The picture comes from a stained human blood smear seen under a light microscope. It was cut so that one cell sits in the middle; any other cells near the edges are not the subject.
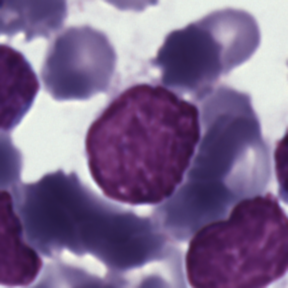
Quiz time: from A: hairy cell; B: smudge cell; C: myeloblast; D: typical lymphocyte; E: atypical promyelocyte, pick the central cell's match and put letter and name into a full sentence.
Option B gets it right: the cell in the middle is a smudge cell.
